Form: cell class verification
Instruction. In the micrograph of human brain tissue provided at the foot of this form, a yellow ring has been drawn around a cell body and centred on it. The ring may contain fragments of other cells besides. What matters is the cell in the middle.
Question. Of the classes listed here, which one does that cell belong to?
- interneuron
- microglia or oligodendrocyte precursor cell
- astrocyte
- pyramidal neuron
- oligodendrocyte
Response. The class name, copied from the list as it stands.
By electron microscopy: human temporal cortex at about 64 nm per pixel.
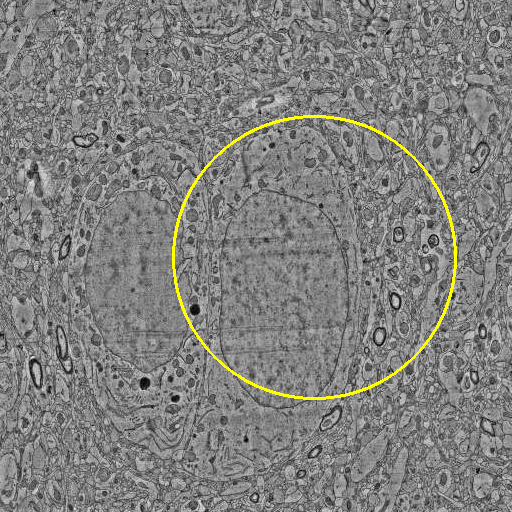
pyramidal neuron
